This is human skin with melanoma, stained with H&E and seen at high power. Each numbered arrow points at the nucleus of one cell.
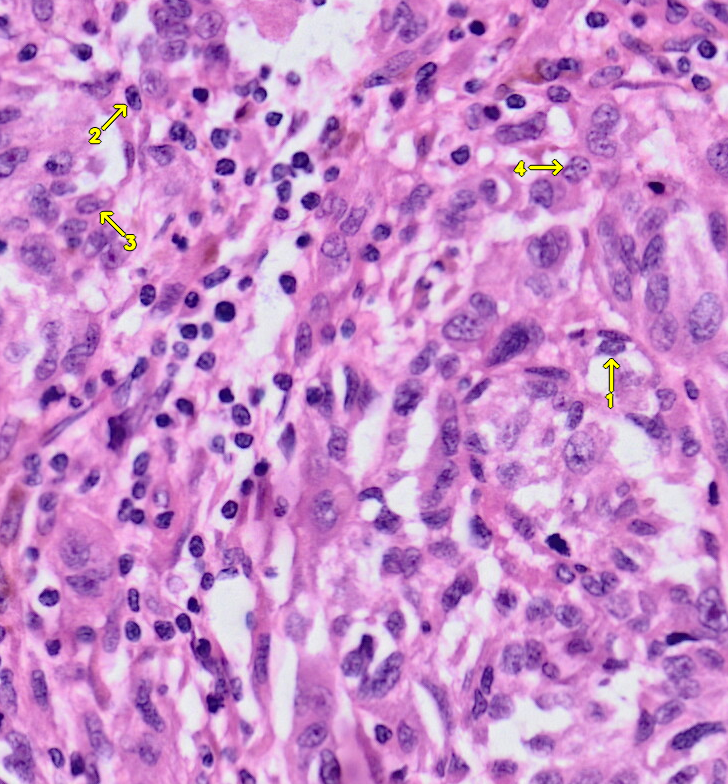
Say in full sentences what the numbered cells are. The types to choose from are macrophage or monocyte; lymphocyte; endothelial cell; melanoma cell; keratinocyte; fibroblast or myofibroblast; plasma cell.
Cells 1, 3 and 4 are melanoma cells. Cell 2 is a lymphocyte.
